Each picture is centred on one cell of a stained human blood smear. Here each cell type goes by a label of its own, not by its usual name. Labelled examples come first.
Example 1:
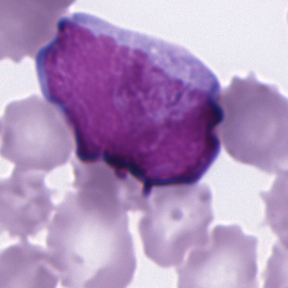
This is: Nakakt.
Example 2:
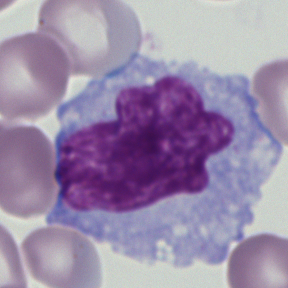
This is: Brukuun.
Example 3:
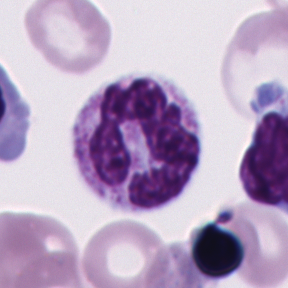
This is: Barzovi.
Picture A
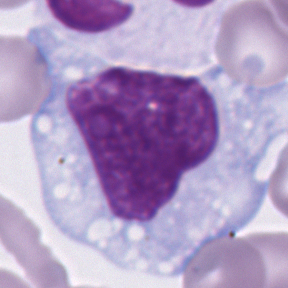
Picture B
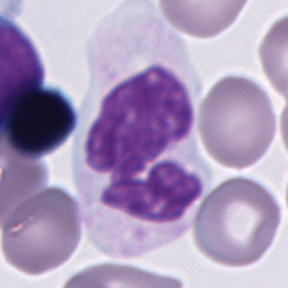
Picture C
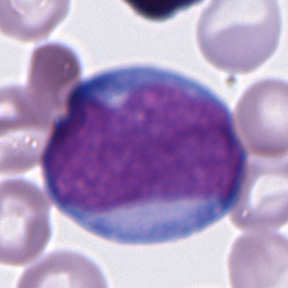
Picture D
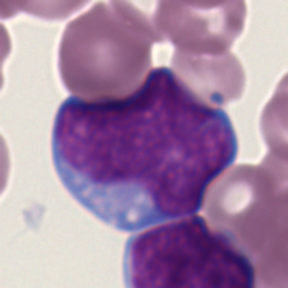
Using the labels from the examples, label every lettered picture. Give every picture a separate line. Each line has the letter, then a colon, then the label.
A: Brukuun.
B: Barzovi.
C: Nakakt.
D: Nakakt.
